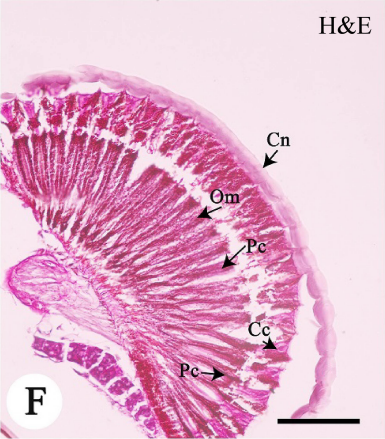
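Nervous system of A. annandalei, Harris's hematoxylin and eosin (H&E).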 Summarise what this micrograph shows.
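This is a section through a compound eye made of many elongate ommatidia arranged radially like a fan. Over the convex outer surface lies a thin, pale, scalloped cornea. Just beneath it, at the outer ends of the units, are crystalline cones. The ommatidia themselves stain deep red-pink and run as long parallel columns converging inward, with paler streaks between them. Towards the inner ends the columns narrow and become paler and fibrous where they gather towards the base of the eye. Below the eye, at the lower left, lies a little muscle-like and cellular tissue.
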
